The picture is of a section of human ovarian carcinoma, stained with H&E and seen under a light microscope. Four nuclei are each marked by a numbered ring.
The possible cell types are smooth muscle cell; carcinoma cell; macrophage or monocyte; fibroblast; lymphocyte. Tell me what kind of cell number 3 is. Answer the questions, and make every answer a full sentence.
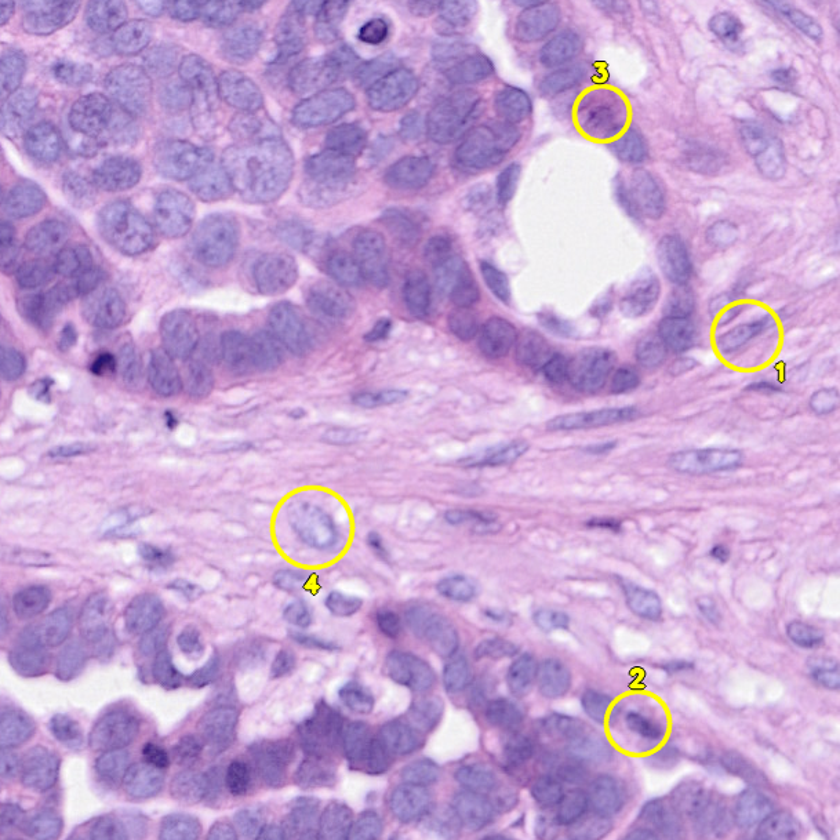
The cell to which the number 3 is assigned is a carcinoma cell.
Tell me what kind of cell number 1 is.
The cell indicated with the number 1 is classed as a fibroblast.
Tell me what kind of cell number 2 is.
Here the cell numbered 2 is a macrophage or monocyte.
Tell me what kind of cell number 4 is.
The cell that goes by number 4 is a fibroblast.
